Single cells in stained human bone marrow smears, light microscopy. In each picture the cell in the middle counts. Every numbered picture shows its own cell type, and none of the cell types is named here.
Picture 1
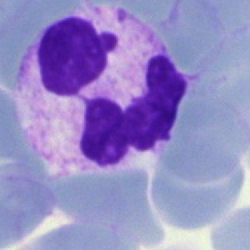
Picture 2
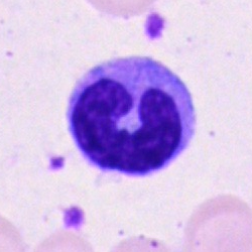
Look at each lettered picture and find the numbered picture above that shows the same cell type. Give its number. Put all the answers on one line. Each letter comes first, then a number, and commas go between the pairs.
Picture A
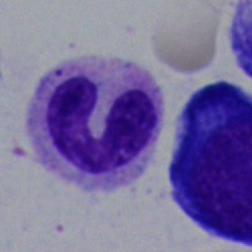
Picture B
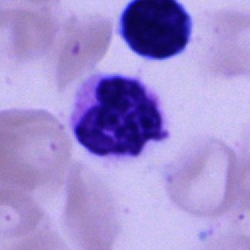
A 2, B 1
